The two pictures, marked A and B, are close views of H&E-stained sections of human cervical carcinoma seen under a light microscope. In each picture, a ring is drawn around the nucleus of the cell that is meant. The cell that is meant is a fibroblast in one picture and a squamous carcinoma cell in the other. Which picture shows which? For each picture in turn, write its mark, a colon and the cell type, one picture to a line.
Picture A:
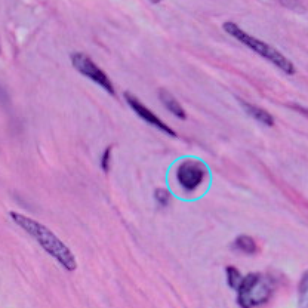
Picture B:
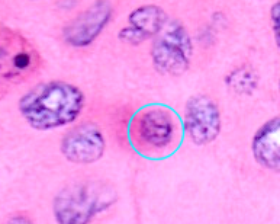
A: fibroblast
B: squamous carcinoma cell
